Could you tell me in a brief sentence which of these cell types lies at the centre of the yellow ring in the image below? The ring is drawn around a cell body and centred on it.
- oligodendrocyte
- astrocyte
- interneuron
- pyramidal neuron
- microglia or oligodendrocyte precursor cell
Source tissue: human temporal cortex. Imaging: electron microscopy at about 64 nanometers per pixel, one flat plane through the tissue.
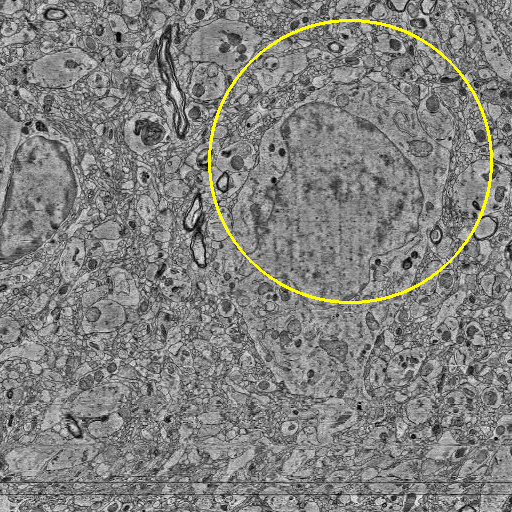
The cell centred in the ring is an interneuron.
